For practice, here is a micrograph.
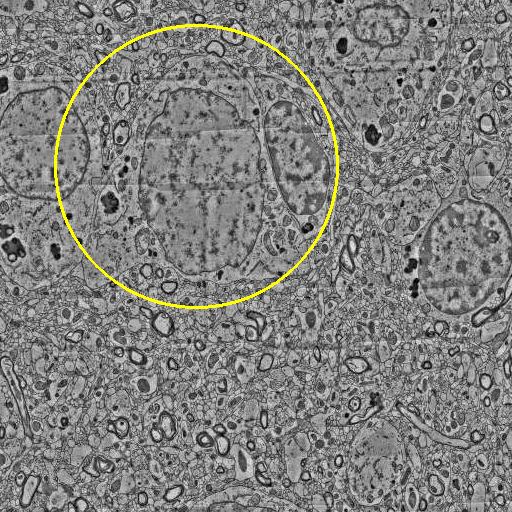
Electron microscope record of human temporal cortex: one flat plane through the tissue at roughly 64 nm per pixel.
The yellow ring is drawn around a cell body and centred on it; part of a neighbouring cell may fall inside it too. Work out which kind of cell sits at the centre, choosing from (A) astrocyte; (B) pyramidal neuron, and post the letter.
B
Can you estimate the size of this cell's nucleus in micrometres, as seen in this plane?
The nucleus is approximately 12 micrometres long but only about 8 wide, clearly longer than it is wide in this plane.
